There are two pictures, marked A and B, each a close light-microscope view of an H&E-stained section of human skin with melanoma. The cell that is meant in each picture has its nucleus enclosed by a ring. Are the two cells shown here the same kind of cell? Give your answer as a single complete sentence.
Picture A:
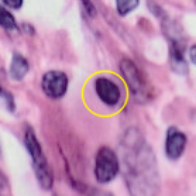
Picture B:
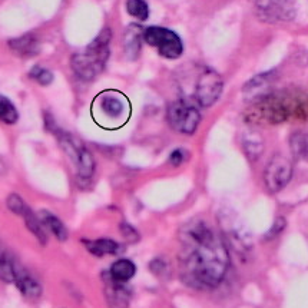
Yes; the cells in both pictures are lymphocytes.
